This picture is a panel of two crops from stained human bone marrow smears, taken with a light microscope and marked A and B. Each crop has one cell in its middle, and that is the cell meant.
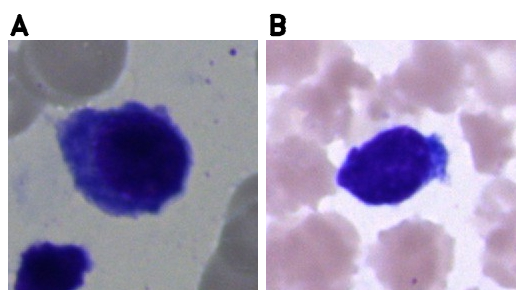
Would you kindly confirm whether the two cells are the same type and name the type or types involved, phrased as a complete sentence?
No, crop A captures an erythroblast; meanwhile crop B captures a lymphocyte.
